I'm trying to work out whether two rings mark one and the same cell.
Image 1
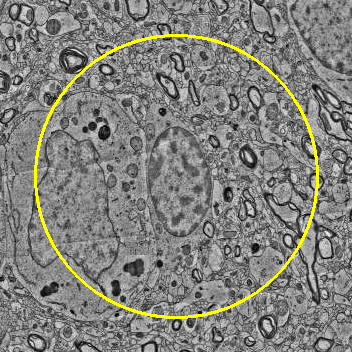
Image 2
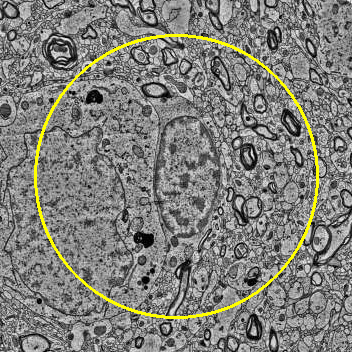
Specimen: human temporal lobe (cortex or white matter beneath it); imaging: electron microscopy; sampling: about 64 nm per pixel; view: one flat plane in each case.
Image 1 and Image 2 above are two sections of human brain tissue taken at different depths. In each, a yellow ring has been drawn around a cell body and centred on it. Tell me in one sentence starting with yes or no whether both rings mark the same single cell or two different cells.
Yes, the first and second rings frame the same single cell.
